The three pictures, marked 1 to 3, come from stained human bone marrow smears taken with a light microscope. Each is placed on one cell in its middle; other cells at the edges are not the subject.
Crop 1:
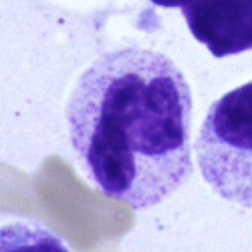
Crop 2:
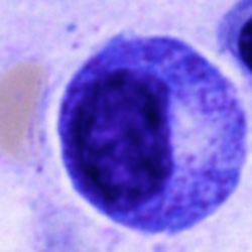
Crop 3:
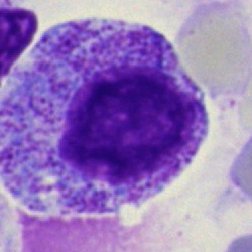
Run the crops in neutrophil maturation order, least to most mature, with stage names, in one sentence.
The order of the crops by rising maturity is crop 2 (a promyelocyte), crop 3 (a myelocyte) and crop 1 (a segmented neutrophil).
